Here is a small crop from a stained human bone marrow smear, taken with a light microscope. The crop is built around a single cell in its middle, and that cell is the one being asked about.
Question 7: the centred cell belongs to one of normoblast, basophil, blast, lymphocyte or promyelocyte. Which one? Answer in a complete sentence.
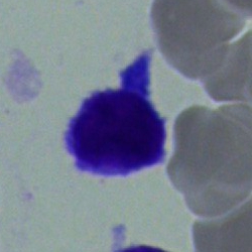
The centrally located cell in the crop is a lymphocyte.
